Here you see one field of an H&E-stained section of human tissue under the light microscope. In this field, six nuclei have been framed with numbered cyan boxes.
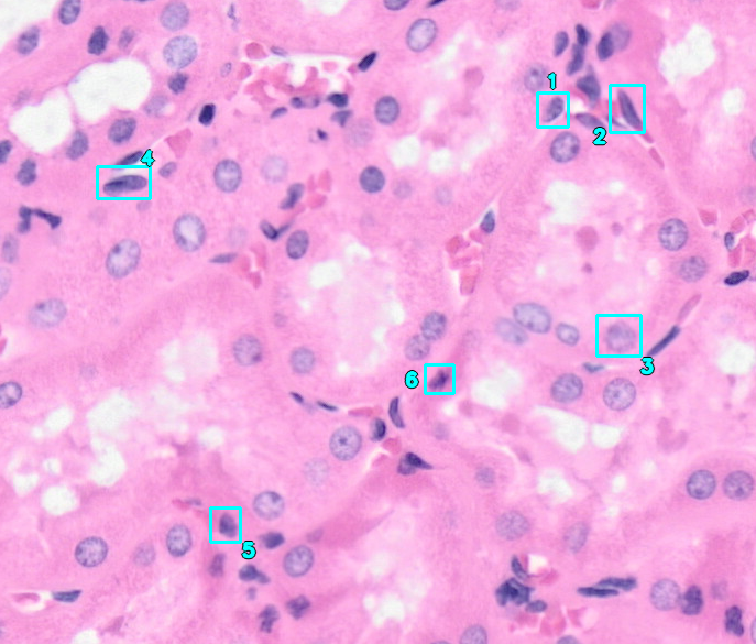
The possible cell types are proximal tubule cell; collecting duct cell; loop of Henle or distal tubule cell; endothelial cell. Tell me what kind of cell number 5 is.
endothelial cell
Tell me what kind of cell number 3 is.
proximal tubule cell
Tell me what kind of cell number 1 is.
endothelial cell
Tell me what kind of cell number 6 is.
proximal tubule cell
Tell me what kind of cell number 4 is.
endothelial cell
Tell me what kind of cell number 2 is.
endothelial cell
